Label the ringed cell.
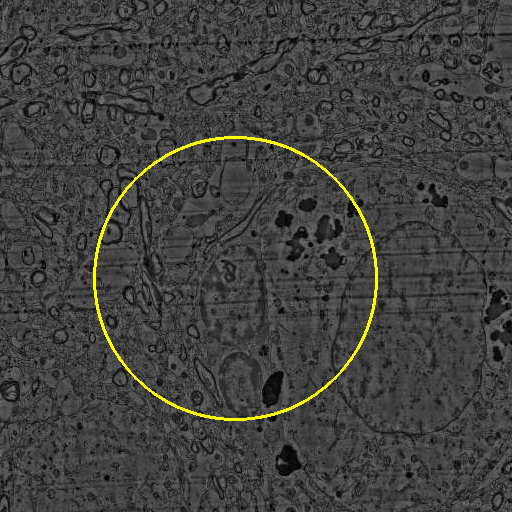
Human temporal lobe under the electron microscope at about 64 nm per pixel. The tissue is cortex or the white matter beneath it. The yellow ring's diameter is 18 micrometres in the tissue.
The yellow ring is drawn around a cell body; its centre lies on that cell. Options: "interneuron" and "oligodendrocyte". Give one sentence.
The ringed cell is an oligodendrocyte.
